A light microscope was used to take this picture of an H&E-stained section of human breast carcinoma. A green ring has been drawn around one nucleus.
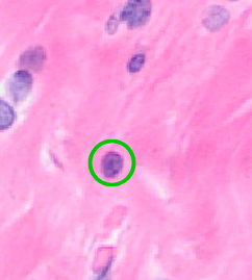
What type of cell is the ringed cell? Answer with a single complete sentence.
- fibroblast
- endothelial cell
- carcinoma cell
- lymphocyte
Labelled by cell type, the ringed cell is a lymphocyte.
